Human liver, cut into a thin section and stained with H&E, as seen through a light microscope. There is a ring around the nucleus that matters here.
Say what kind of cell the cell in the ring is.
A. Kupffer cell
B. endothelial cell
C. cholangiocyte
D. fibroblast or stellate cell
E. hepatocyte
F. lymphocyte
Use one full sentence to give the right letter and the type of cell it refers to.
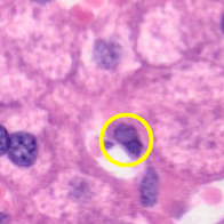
Of the options offered, A is correct, as the cell in the ring is a Kupffer cell.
